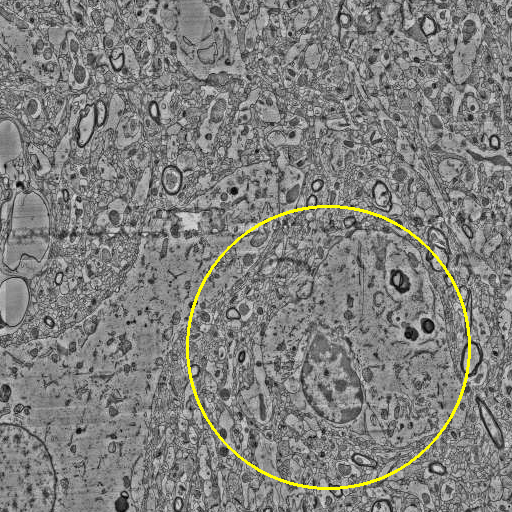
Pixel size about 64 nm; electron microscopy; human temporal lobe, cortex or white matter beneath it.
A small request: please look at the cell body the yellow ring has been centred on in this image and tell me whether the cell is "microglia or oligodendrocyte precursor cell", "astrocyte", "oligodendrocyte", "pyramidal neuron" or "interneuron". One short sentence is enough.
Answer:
The cell marked by the ring is a microglial cell or oligodendrocyte precursor cell.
